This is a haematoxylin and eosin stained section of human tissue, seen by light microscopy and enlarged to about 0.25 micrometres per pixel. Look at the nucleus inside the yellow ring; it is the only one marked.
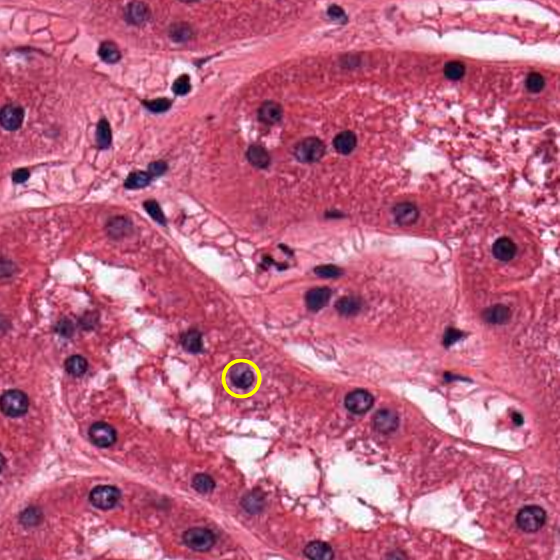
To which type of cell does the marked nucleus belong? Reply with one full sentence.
The cell to which the marked nucleus belongs is a proximal tubule cell.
